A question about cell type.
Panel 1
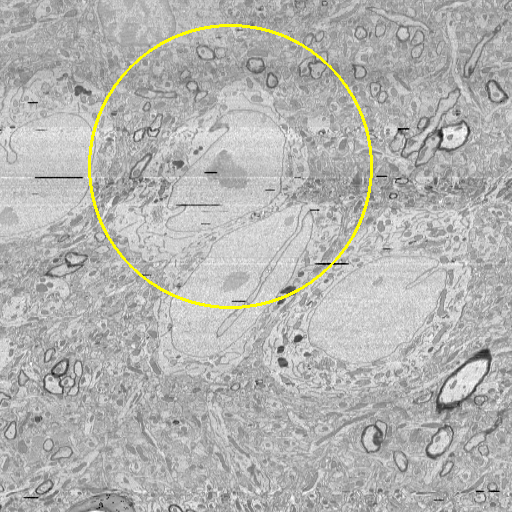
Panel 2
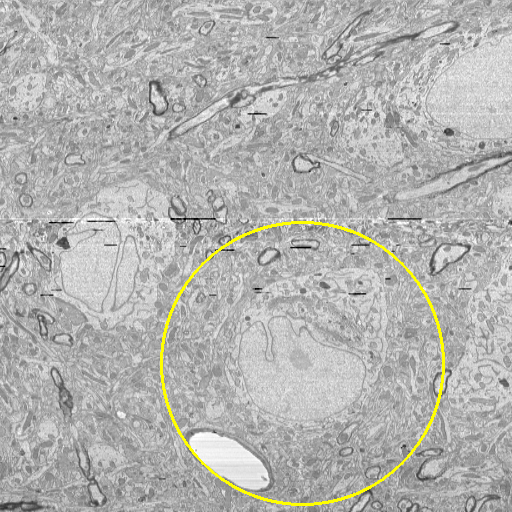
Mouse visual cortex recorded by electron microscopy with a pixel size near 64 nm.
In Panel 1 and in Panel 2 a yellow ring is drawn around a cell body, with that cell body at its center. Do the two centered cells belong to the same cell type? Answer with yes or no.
no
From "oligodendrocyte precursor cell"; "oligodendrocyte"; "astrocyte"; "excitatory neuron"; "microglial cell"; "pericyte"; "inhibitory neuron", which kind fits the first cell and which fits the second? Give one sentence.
The cell marked in the first picture is an excitatory neuron, and the one marked in the second is an inhibitory neuron.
